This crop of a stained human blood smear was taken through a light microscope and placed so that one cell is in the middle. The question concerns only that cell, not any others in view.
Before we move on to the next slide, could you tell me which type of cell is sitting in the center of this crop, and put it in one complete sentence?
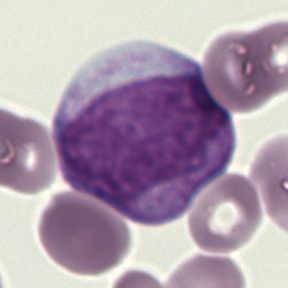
The middle of this crop is occupied by an atypical promyelocyte.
